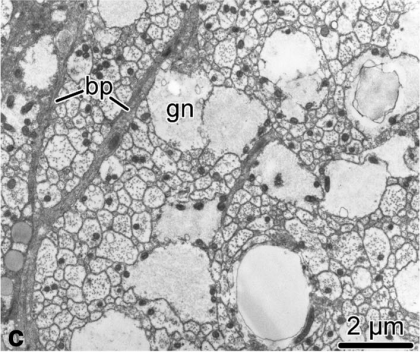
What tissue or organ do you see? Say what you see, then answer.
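The field is a mesh of many small membrane-bound profiles in cross section. No nuclei are present. Some larger pale profiles are scattered among the small ones. On this evidence: neuropil.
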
